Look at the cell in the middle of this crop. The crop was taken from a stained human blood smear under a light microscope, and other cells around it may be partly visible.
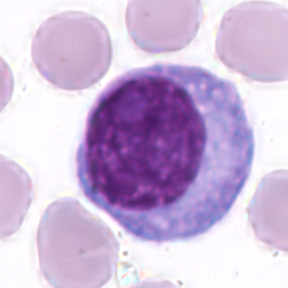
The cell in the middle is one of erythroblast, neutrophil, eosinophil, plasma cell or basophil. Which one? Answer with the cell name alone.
plasma cell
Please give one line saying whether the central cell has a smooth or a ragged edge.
If you check the edge, you will find it smooth without projections.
